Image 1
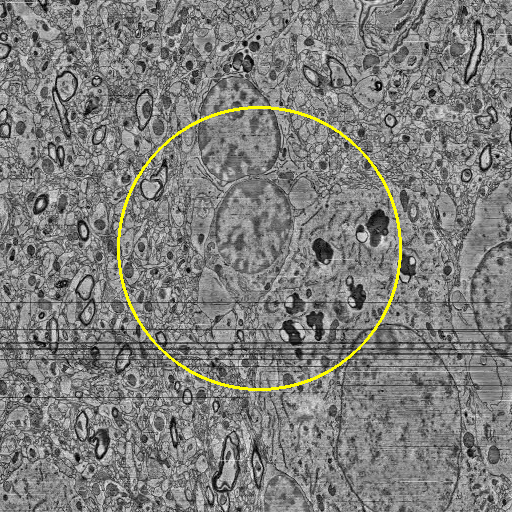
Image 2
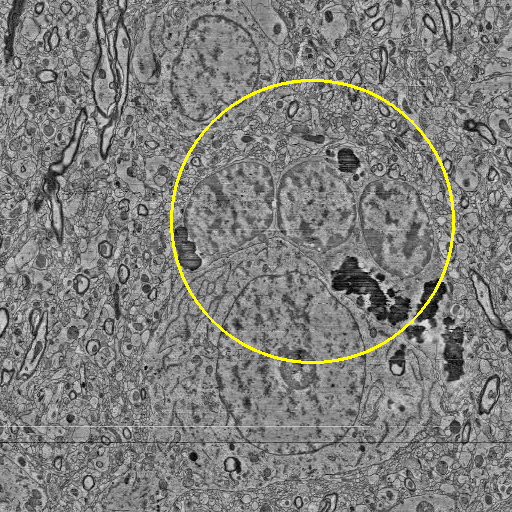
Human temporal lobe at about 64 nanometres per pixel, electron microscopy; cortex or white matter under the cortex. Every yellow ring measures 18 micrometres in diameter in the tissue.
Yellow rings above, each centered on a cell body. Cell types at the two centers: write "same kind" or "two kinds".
same kind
